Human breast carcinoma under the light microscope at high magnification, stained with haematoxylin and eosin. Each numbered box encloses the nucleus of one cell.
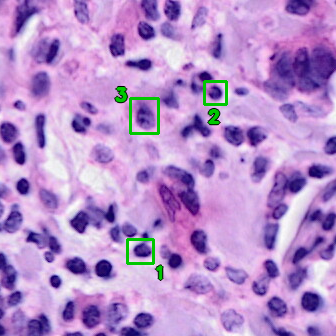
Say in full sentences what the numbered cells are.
Cells 1 and 2 are lymphocytes. Cell 3 is a mast cell.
